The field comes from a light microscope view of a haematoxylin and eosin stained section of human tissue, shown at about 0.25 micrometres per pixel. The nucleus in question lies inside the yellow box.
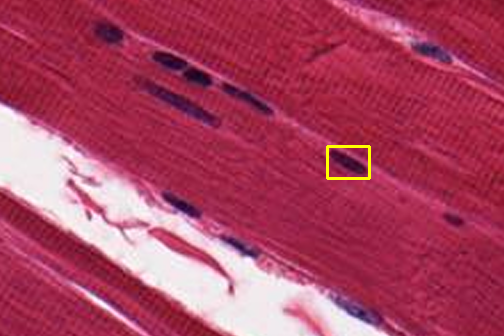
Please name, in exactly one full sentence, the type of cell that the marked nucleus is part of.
The marked nucleus is seen to belong to a skeletal muscle fibre.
